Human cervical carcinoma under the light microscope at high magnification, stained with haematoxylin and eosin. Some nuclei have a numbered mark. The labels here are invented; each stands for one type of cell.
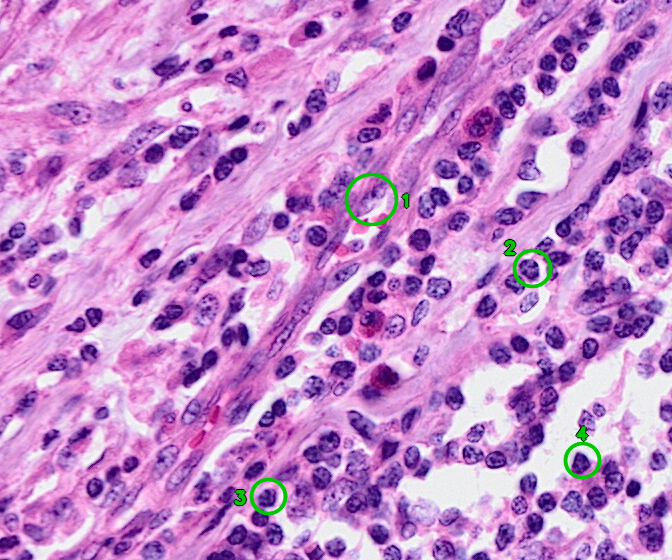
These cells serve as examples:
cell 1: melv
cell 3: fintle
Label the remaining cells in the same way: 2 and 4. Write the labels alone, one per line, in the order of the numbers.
fintle
fintle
